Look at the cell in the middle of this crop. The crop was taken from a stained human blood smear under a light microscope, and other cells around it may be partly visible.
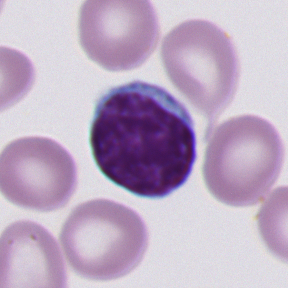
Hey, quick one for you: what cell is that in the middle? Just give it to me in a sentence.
The cell at the heart of this crop is a typical lymphocyte.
